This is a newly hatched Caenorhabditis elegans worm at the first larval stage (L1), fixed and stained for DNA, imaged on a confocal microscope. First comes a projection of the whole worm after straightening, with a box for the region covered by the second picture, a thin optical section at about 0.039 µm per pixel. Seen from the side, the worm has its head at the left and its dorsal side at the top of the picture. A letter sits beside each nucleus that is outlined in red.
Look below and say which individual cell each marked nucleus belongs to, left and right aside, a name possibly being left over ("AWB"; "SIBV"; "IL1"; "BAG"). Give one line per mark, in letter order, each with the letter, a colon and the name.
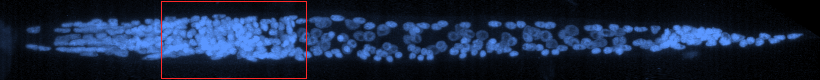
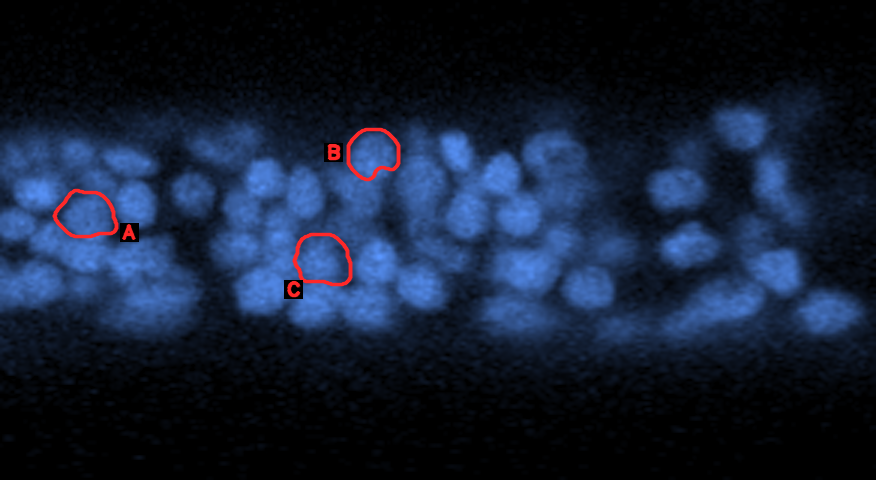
A: BAG
B: AWB
C: SIBV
